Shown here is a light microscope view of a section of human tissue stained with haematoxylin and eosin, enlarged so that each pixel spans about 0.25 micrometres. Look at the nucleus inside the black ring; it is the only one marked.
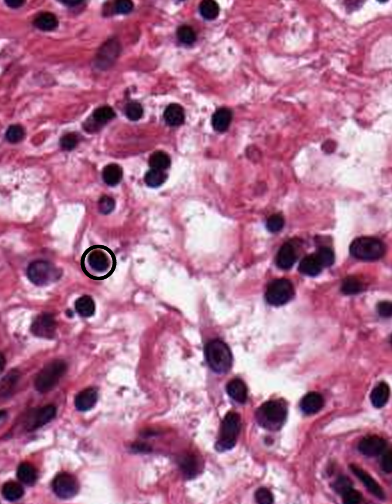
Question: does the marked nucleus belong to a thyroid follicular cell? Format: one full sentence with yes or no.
No, it is a supporting cell, not a thyroid follicular cell, to which the marked nucleus belongs.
